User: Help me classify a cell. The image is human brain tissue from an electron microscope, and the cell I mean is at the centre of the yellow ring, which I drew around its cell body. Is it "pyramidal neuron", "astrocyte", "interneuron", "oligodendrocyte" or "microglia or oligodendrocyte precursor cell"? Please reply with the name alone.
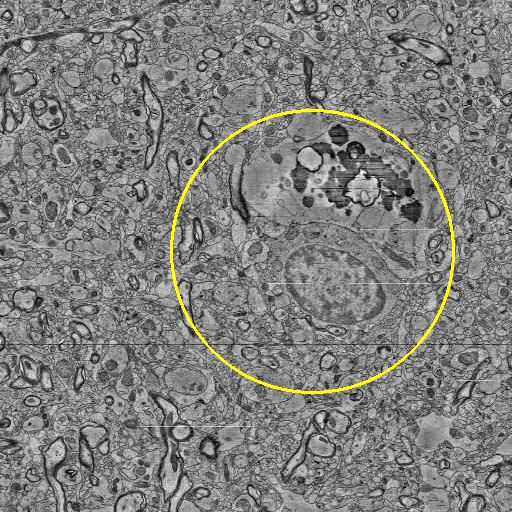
oligodendrocyte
